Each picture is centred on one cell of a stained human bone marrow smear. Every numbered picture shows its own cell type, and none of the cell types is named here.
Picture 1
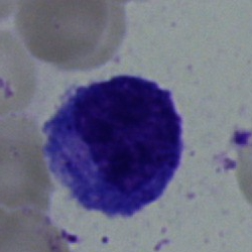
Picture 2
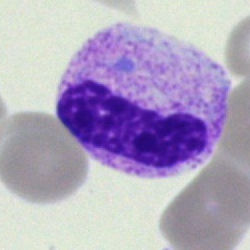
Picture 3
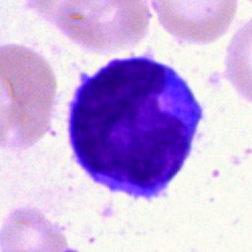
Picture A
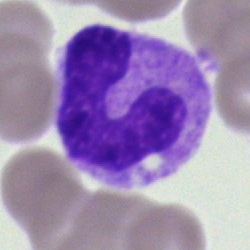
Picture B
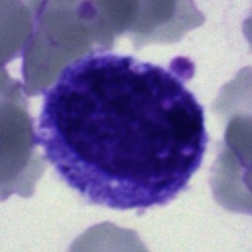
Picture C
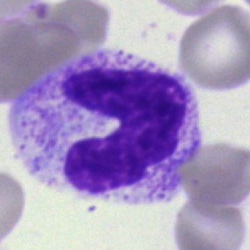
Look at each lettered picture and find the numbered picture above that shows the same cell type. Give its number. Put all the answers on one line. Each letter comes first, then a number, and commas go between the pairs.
A 2, B 1, C 2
